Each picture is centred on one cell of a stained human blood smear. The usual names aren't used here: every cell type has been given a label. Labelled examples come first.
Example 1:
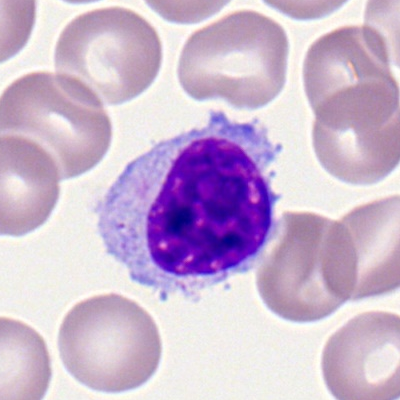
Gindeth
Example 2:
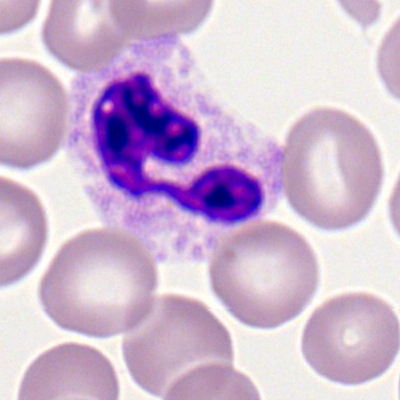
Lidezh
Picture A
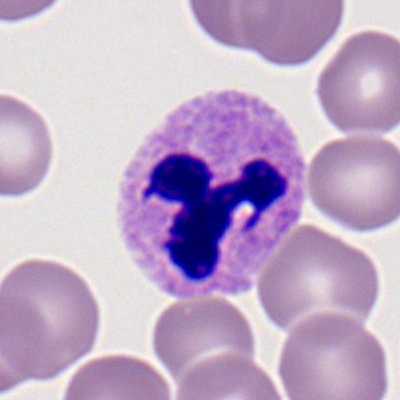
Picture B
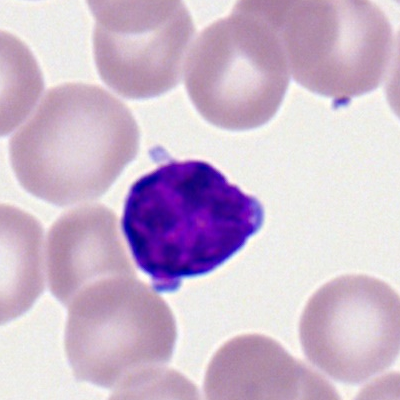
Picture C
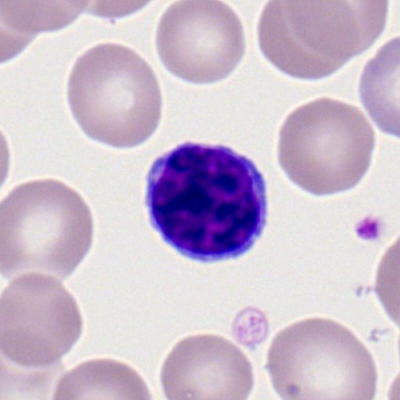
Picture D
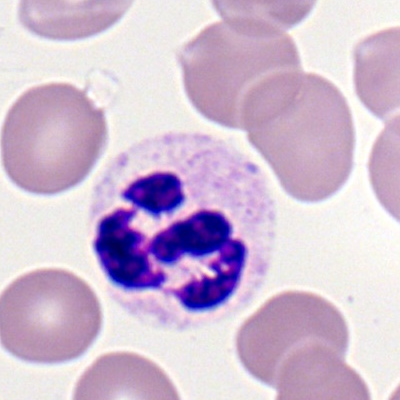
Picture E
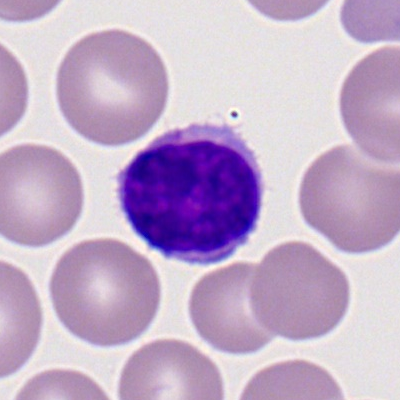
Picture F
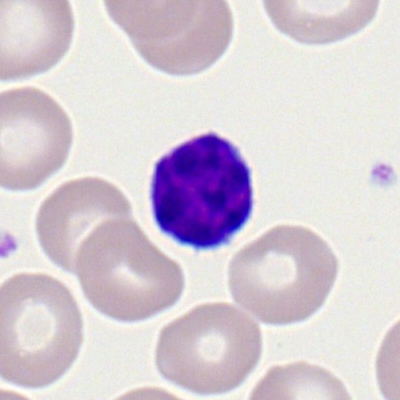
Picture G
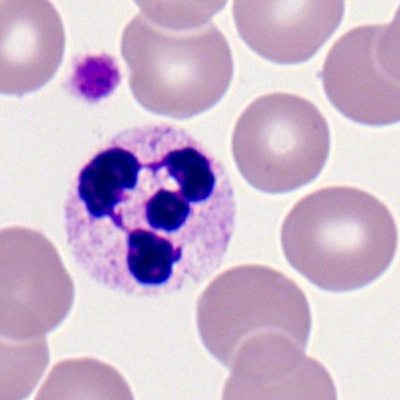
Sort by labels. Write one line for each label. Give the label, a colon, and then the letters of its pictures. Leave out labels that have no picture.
Gindeth: B, C, E, F
Lidezh: A, D, G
